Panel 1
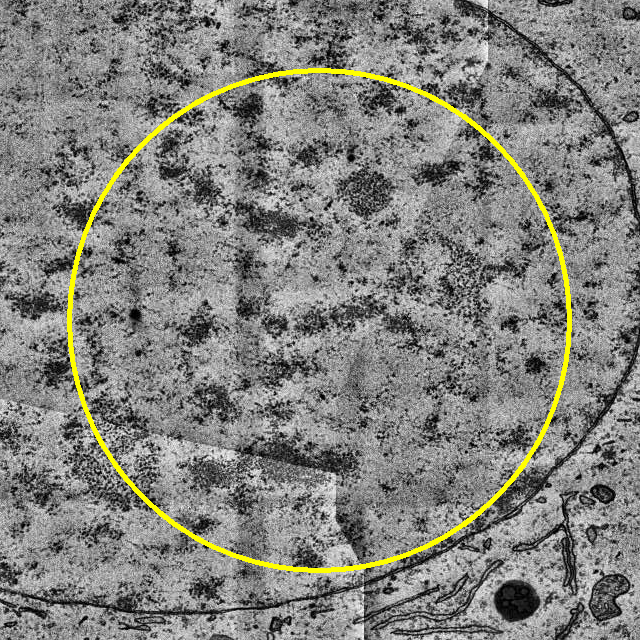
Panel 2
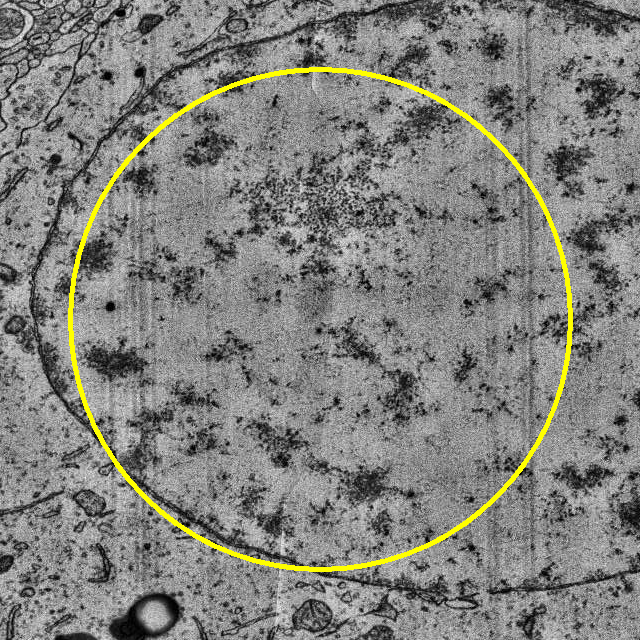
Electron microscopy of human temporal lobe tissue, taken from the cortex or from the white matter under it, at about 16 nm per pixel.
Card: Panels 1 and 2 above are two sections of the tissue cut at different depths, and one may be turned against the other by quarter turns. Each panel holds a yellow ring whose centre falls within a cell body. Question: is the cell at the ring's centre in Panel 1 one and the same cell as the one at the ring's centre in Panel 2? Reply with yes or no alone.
no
